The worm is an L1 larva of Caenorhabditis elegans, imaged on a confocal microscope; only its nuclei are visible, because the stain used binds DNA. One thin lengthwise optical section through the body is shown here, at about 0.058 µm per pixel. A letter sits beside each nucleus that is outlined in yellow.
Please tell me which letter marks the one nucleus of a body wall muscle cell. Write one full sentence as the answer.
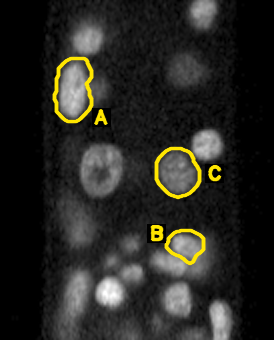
A is the one that belongs to a body wall muscle cell.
